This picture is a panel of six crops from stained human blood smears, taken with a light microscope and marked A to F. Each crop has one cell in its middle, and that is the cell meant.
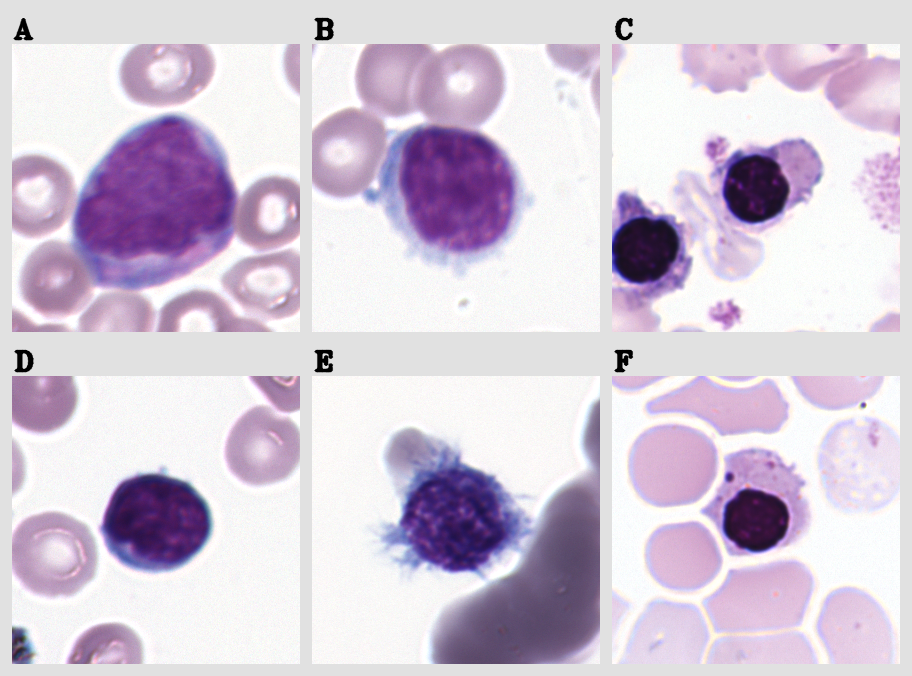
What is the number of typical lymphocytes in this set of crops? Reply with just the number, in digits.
2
